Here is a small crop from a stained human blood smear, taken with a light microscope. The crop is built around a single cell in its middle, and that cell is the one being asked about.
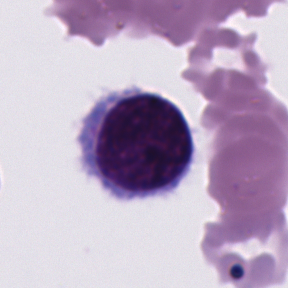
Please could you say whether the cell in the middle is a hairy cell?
yes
